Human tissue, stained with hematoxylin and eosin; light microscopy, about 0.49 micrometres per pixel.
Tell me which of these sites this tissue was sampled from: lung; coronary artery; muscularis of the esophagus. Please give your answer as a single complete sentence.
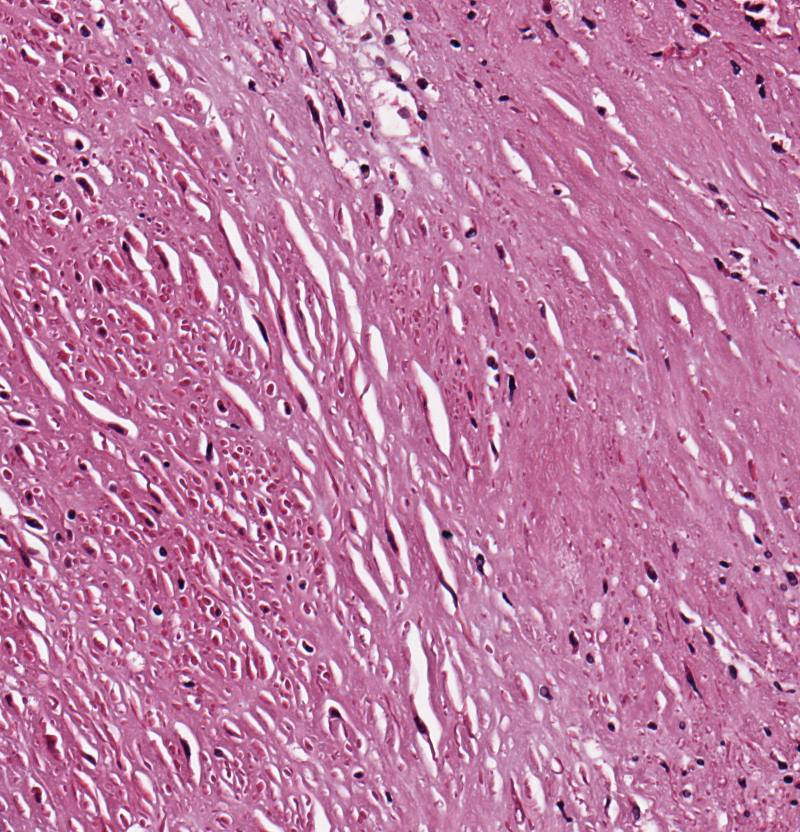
This piece of tissue was sampled from the coronary artery.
